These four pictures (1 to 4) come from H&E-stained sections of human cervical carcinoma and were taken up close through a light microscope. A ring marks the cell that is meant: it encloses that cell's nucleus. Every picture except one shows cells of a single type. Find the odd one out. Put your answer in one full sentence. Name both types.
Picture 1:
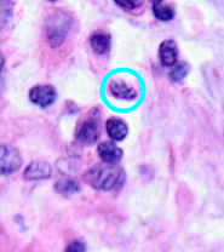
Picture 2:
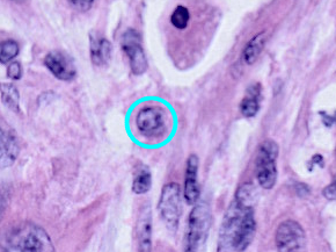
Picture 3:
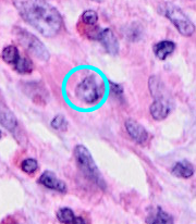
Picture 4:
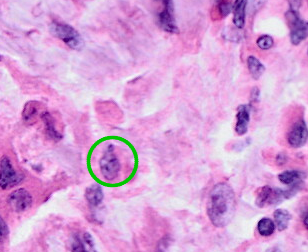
Unlike the rest, which show “macrophages or monocytes”, picture 1 shows a lymphocyte.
